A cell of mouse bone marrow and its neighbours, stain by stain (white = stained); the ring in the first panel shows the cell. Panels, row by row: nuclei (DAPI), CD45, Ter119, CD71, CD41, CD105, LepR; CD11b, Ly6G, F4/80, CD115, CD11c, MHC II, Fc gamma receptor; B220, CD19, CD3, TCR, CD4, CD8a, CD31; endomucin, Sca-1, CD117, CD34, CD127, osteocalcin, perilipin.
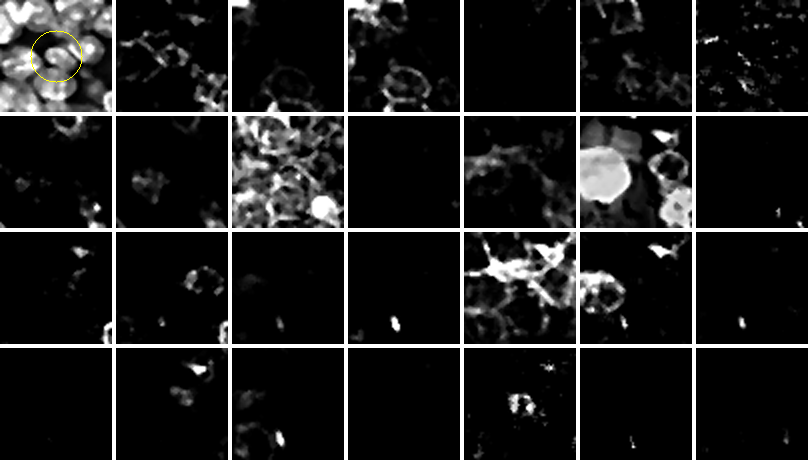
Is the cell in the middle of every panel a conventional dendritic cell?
No, it is a common lymphoid progenitor.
